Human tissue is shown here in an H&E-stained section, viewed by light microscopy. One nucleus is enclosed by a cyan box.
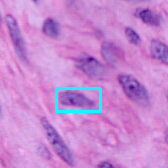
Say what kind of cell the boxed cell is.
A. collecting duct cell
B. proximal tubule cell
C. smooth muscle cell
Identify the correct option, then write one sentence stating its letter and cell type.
Option C is correct in that the boxed cell is a smooth muscle cell.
